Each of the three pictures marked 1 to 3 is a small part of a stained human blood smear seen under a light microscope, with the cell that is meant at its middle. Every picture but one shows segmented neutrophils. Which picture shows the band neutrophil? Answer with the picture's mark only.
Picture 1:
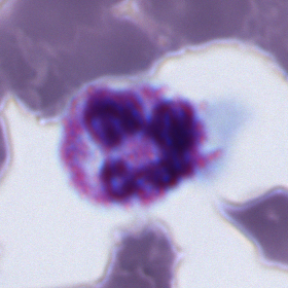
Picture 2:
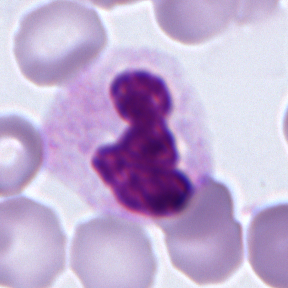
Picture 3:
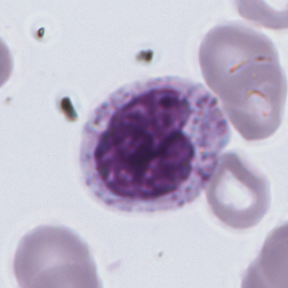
3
